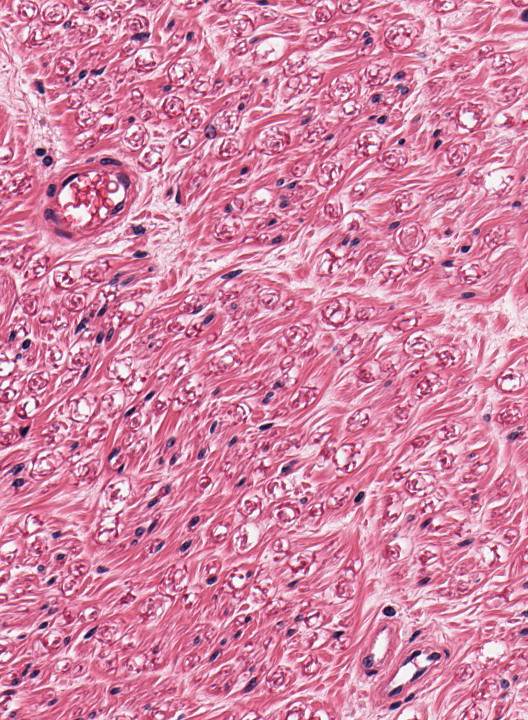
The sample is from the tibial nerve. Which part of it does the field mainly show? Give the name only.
nerve fascicle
